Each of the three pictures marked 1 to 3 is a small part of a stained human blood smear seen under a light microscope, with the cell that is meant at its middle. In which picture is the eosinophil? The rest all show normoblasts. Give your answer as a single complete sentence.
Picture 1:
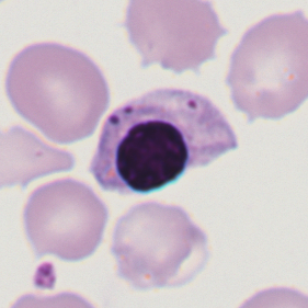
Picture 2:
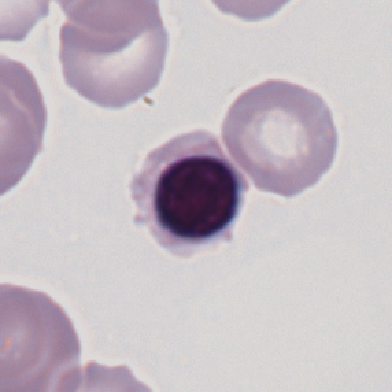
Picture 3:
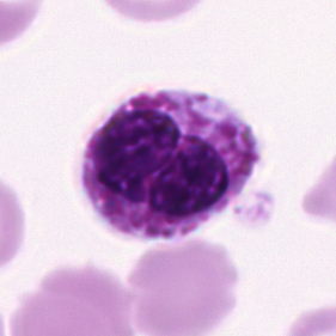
Picture 3 shows the eosinophil.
